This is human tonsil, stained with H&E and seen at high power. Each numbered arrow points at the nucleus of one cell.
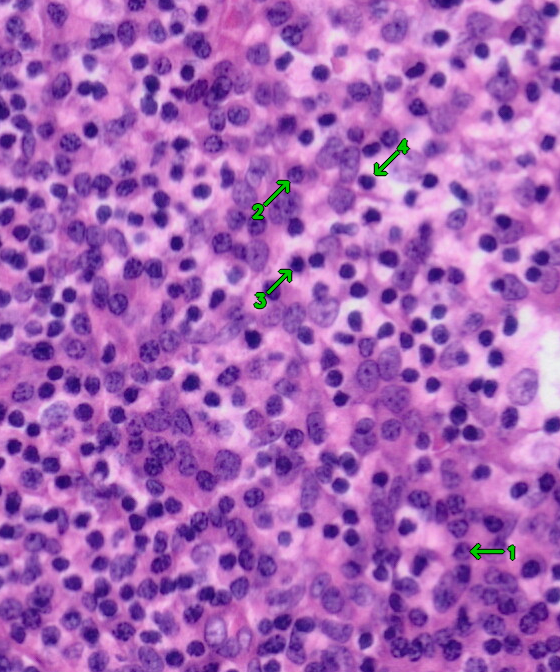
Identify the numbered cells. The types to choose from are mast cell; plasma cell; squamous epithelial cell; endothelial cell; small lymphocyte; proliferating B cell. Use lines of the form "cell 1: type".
cell 1: plasma cell
cell 2: plasma cell
cell 3: plasma cell
cell 4: squamous epithelial cell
